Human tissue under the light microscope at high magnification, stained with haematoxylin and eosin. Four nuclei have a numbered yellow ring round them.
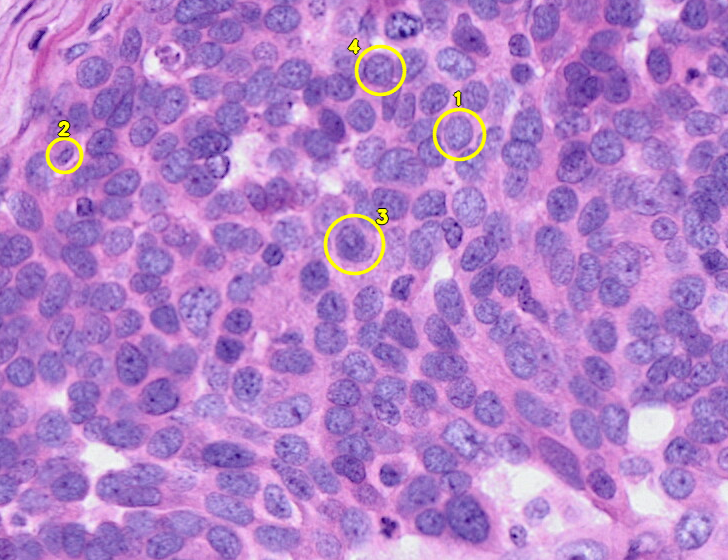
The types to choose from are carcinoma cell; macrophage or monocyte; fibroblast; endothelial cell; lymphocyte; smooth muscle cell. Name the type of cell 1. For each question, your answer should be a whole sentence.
The nucleus with number 1 is that of a carcinoma cell.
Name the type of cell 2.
Cell 2 in the field of view is a macrophage or monocyte.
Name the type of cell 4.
In the marked set, the cell given number 4 is a carcinoma cell.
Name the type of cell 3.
Among the marked nuclei, number 3 belongs to a carcinoma cell.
